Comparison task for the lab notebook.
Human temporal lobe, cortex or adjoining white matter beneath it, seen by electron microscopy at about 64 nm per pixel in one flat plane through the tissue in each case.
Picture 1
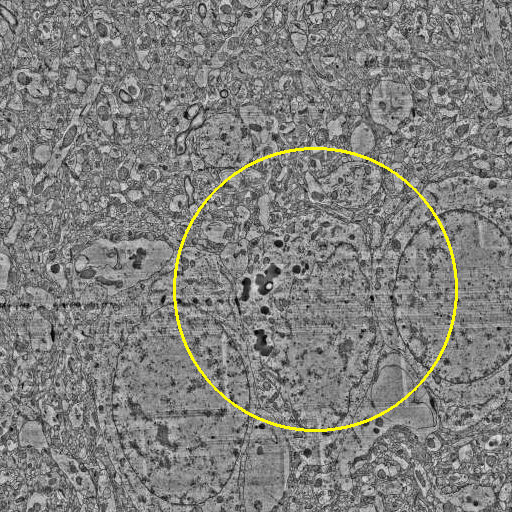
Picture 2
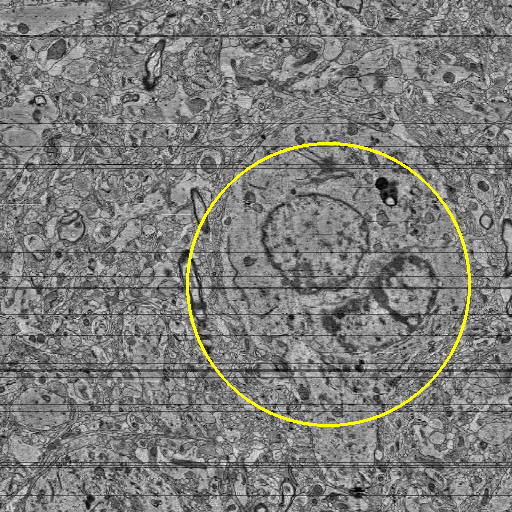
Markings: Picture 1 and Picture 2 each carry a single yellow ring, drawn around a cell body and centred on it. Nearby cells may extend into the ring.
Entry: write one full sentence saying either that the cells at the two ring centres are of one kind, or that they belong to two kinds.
The cells sitting at the ring centres in Picture 1 and Picture 2 belong to two kinds.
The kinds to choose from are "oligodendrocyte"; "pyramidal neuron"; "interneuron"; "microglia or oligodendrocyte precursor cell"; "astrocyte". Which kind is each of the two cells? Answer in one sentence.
Of the two, the first cell is an interneuron and the second cell is a microglial cell or oligodendrocyte precursor cell.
